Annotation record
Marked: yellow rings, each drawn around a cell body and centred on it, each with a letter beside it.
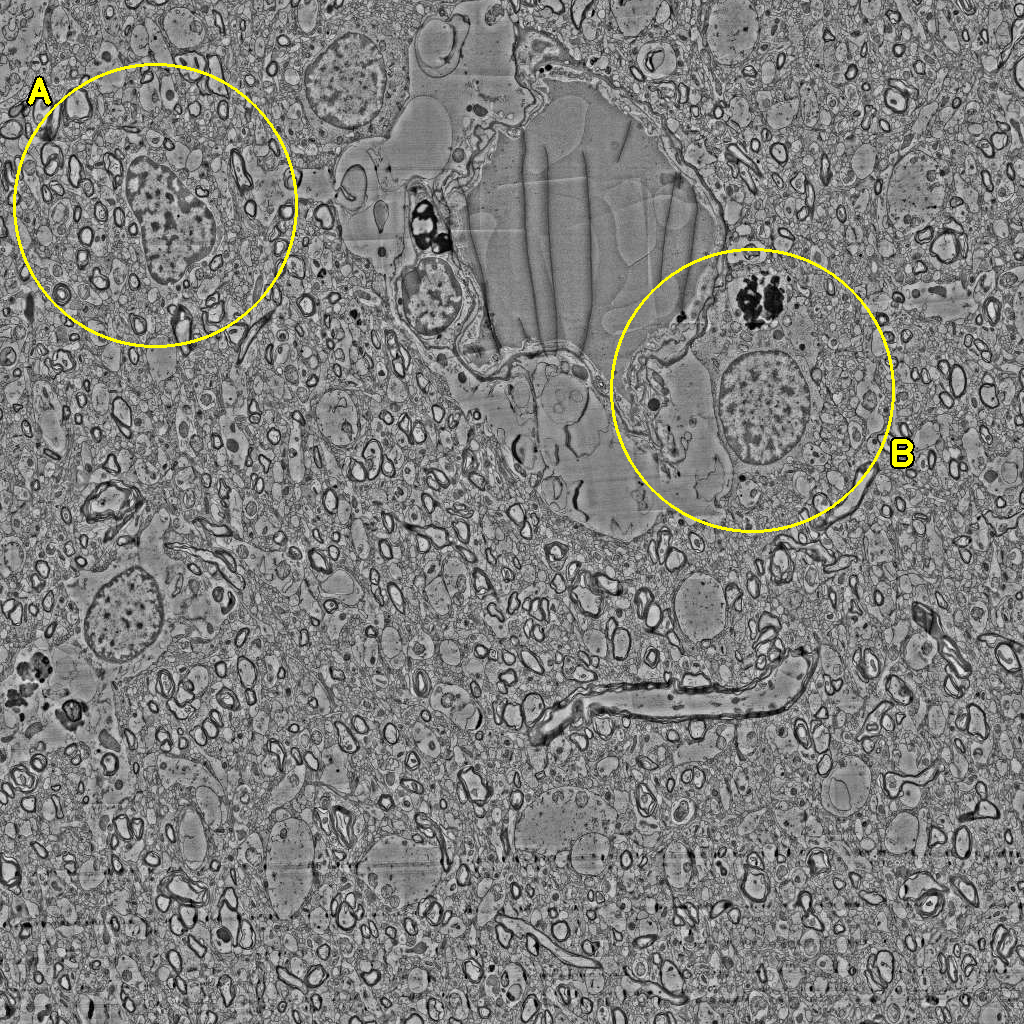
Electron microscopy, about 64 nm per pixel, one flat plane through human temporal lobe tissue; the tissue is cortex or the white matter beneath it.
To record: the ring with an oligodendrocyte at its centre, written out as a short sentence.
The ring centred on it is ring B.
